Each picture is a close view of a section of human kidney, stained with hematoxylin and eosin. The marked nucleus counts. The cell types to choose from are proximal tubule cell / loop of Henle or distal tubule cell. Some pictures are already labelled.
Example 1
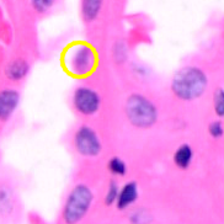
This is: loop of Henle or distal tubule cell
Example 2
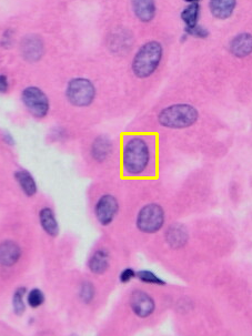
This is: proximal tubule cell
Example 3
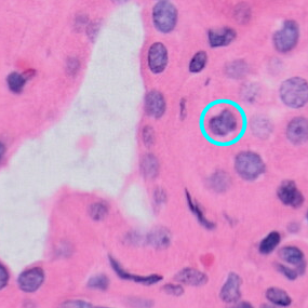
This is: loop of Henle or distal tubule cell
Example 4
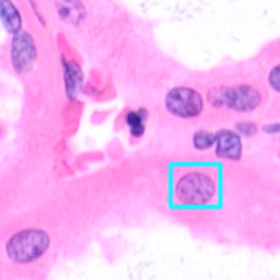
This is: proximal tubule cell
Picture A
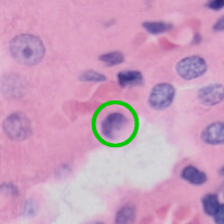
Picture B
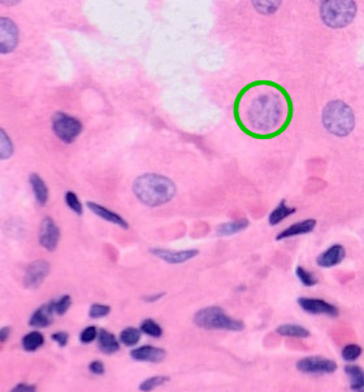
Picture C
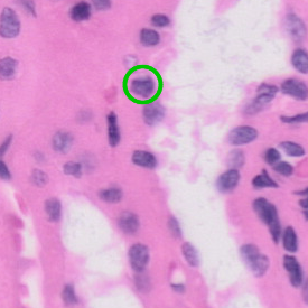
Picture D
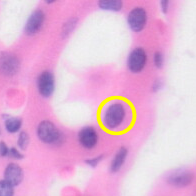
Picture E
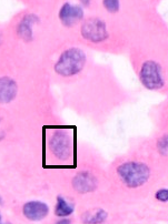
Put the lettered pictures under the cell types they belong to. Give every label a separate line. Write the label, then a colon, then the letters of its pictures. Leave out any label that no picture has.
proximal tubule cell: B
loop of Henle or distal tubule cell: A, C, D, E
